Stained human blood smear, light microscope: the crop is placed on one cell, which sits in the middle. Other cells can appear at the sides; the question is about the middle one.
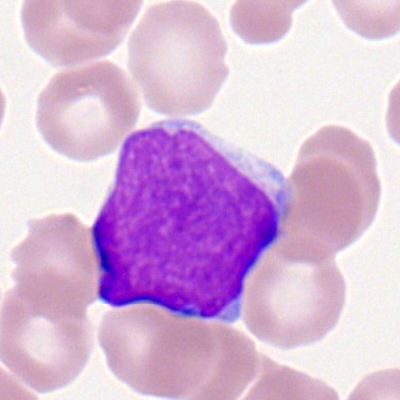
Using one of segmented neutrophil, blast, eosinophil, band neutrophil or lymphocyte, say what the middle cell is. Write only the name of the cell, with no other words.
blast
